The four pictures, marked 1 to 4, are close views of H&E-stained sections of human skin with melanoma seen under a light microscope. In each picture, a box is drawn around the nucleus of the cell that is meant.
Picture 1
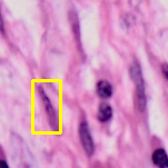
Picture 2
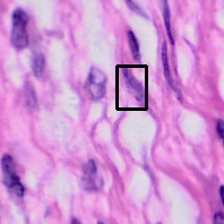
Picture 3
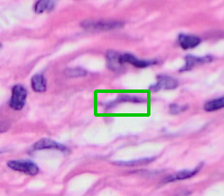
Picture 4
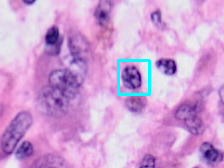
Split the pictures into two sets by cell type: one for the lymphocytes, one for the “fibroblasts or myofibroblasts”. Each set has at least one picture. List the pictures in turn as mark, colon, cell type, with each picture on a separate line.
1: fibroblast or myofibroblast
2: fibroblast or myofibroblast
3: fibroblast or myofibroblast
4: lymphocyte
